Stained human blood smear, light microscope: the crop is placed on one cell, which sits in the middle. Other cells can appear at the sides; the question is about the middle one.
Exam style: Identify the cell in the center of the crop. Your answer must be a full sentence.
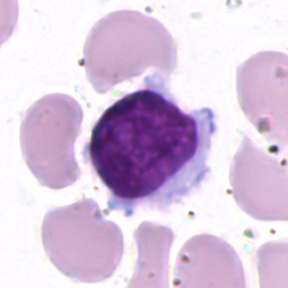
Located at the centre of the crop is a plasma cell.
